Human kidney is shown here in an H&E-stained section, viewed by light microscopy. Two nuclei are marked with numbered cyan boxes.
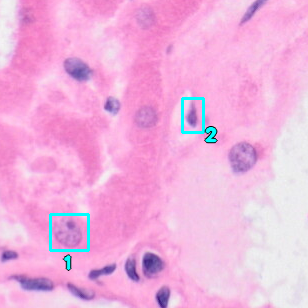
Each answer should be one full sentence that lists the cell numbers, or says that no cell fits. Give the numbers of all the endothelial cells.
Among the numbered cells, the one that is an endothelial cell is cell 2 alone.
